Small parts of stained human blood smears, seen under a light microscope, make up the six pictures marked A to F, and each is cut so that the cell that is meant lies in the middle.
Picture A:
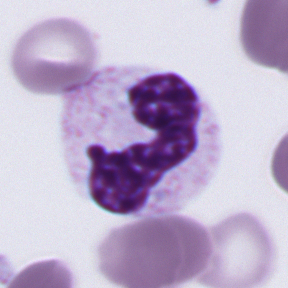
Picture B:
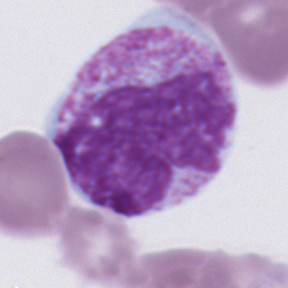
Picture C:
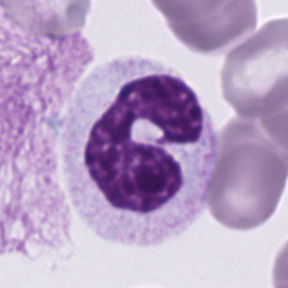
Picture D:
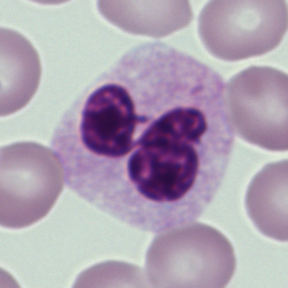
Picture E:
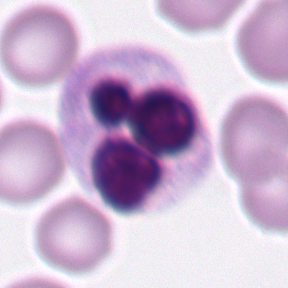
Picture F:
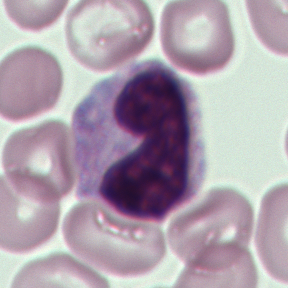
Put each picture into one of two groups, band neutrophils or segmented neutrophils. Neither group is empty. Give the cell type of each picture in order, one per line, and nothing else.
segmented neutrophil
band neutrophil
band neutrophil
segmented neutrophil
segmented neutrophil
band neutrophil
